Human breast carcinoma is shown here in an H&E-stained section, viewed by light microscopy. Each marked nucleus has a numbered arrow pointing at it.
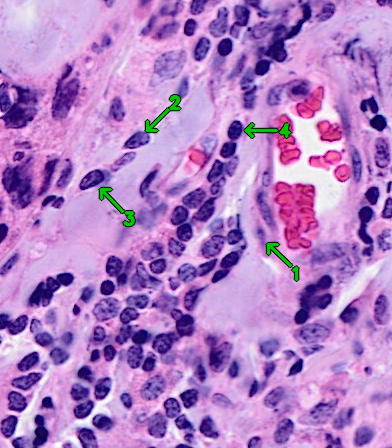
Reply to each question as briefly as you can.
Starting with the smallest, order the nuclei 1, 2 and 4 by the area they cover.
1, 4, 2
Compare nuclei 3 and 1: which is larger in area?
3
